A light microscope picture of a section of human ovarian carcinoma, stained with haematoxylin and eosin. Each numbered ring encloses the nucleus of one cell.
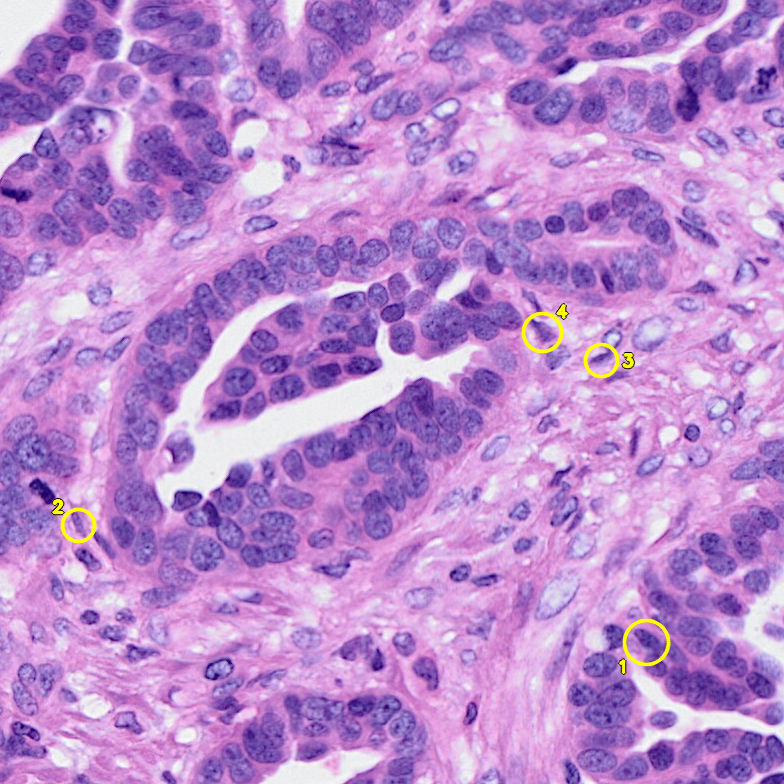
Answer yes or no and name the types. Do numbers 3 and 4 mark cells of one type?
Yes, in this tissue section, cells 3 and 4 are both fibroblasts.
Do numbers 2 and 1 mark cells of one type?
No, in this section cell 2 is a fibroblast and cell 1 is a carcinoma cell.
